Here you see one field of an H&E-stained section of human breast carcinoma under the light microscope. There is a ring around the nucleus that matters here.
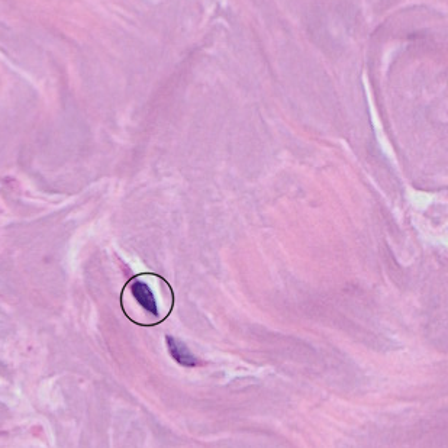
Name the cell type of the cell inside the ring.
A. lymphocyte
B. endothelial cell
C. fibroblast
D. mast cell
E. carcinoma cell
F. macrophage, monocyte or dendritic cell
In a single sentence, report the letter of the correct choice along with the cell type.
Of all the options, C is right, since the cell inside the ring is a fibroblast.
